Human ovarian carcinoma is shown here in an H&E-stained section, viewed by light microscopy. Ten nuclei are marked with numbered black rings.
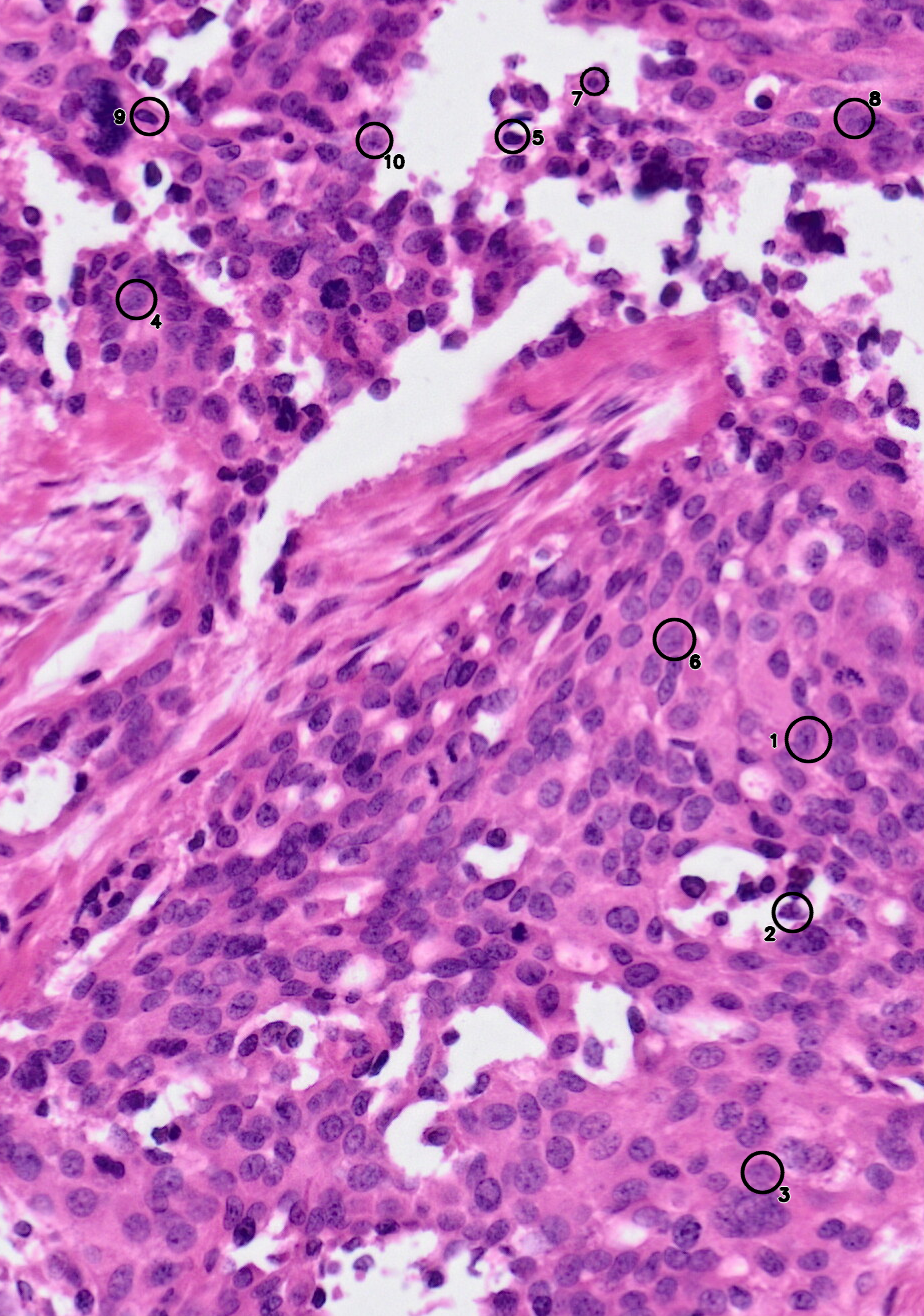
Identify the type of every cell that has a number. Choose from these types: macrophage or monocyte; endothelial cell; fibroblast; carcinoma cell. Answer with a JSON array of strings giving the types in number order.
["carcinoma cell", "carcinoma cell", "carcinoma cell", "carcinoma cell", "macrophage or monocyte", "carcinoma cell", "macrophage or monocyte", "carcinoma cell", "macrophage or monocyte", "macrophage or monocyte"]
